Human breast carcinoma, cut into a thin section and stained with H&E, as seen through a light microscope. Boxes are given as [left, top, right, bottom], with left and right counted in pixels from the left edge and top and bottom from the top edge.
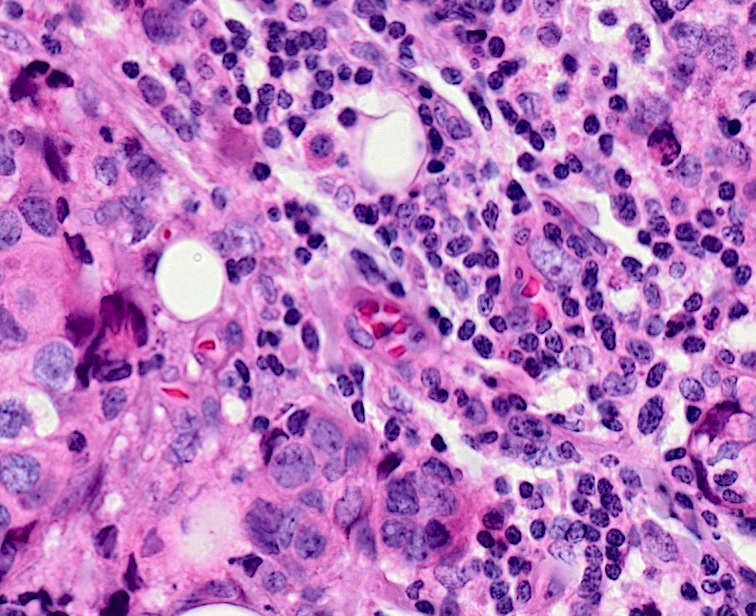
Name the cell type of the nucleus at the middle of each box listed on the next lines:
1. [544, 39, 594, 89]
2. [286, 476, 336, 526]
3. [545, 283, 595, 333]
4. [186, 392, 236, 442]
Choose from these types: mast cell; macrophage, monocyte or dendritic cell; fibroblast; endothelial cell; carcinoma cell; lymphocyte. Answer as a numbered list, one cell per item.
1. lymphocyte
2. carcinoma cell
3. lymphocyte
4. endothelial cell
